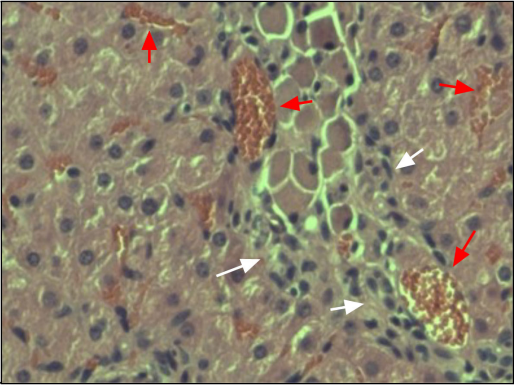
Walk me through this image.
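This is liver tissue in which the large polygonal cells with round pale nuclei and pink cytoplasm are interrupted by a band of crowded small, dark, elongated and round nuclei. Several patches of packed red-brown material, some forming large oval pools and others thin streaks, lie among the cell plates and beside the band.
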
